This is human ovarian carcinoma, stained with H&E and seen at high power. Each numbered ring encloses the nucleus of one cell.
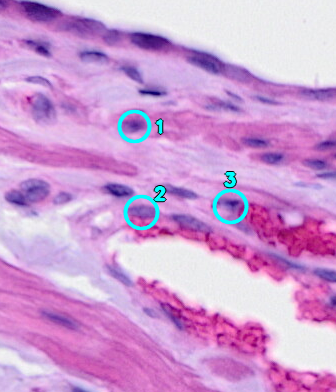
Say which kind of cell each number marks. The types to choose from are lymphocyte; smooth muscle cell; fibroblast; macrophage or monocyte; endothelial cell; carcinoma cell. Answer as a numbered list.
1. smooth muscle cell
2. endothelial cell
3. endothelial cell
